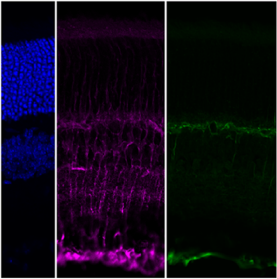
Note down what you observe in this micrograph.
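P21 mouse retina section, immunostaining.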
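The thin magenta fibres pass between the nuclei of the nuclear layers and branch in the plexiform layers. At the inner surface they broaden into bright endfeet that form a continuous band along the ganglion cell layer. The green signal is weak, confined mainly to the inner surface and a faint line near the outer plexiform layer.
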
